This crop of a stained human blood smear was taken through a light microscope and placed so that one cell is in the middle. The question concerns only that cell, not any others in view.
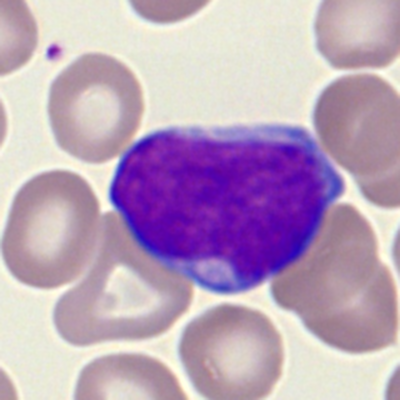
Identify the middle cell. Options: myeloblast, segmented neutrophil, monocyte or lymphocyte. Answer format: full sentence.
The cell of interest, located centrally, is a myeloblast.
